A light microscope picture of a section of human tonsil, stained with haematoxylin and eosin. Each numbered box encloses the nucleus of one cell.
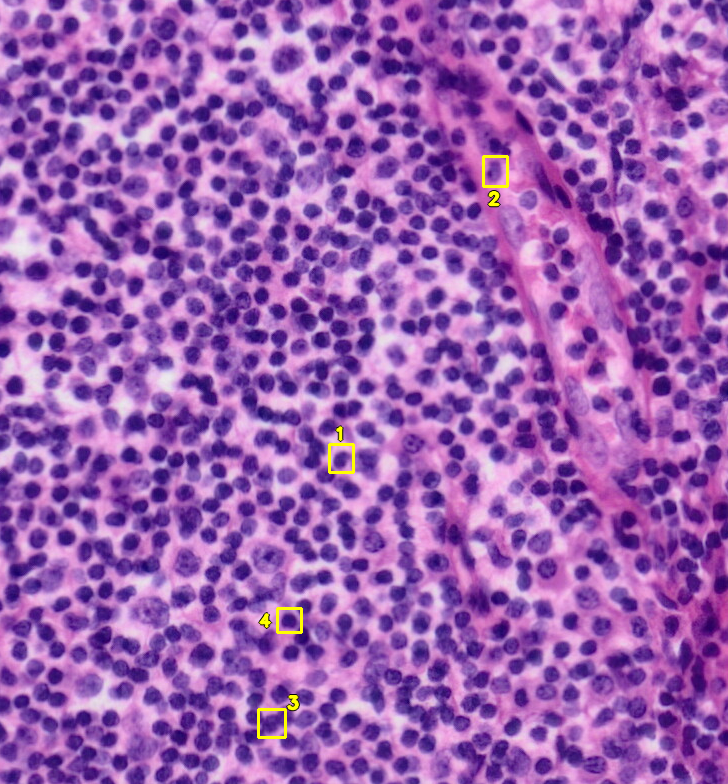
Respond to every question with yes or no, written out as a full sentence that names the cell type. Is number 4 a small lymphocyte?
Yes, that is correct: the cell numbered 4 is a small lymphocyte.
